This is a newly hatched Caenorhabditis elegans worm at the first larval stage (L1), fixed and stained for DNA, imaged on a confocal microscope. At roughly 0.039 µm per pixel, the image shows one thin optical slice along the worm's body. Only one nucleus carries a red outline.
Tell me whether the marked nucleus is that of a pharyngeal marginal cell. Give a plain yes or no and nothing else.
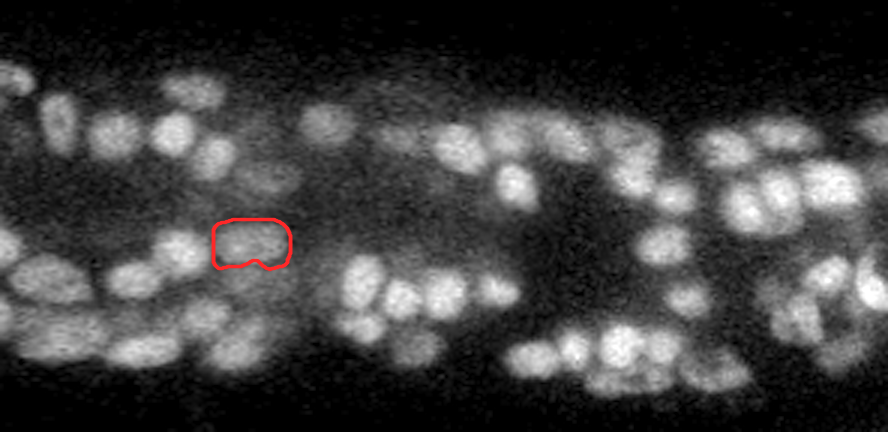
yes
